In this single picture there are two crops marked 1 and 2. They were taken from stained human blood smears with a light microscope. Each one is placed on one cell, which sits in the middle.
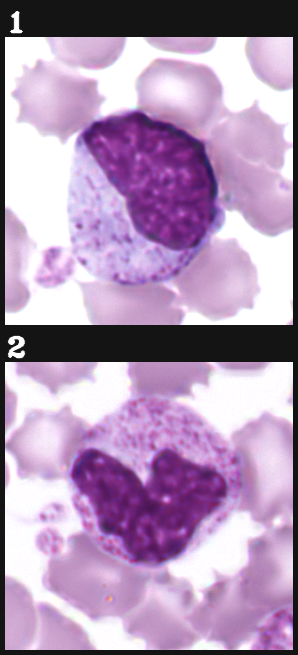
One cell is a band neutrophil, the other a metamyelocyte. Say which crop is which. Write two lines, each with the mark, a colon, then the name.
1: metamyelocyte
2: band neutrophil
